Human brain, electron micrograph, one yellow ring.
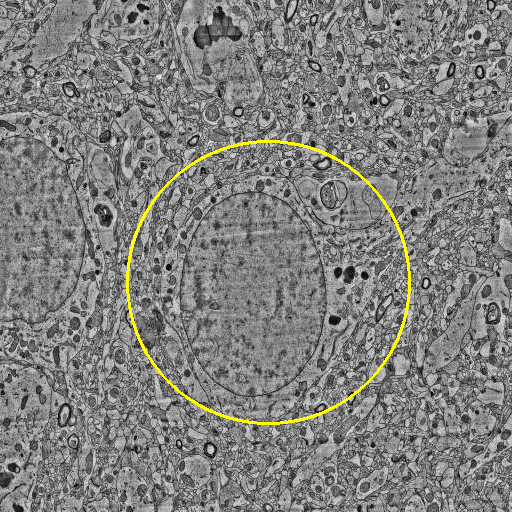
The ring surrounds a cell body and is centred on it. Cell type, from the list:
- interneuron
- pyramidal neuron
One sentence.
The yellow ring circles a pyramidal neuron.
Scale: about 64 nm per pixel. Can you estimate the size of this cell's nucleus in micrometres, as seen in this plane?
In this plane the nucleus measures roughly 13 by 9 micrometers.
